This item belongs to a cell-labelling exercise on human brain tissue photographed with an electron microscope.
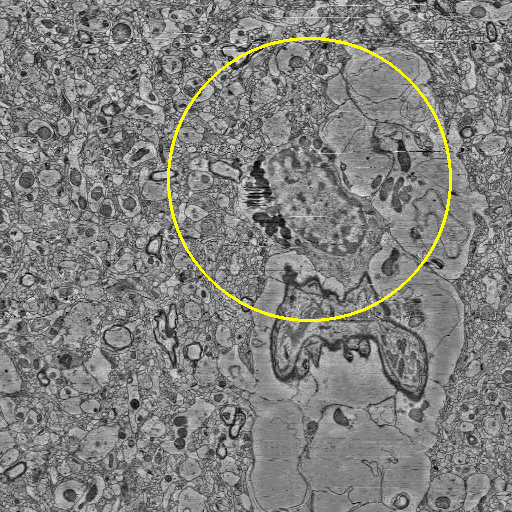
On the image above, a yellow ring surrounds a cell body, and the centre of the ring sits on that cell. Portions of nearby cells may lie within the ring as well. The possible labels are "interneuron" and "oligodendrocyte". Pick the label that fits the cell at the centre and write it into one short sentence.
This cell should be labelled as an oligodendrocyte.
